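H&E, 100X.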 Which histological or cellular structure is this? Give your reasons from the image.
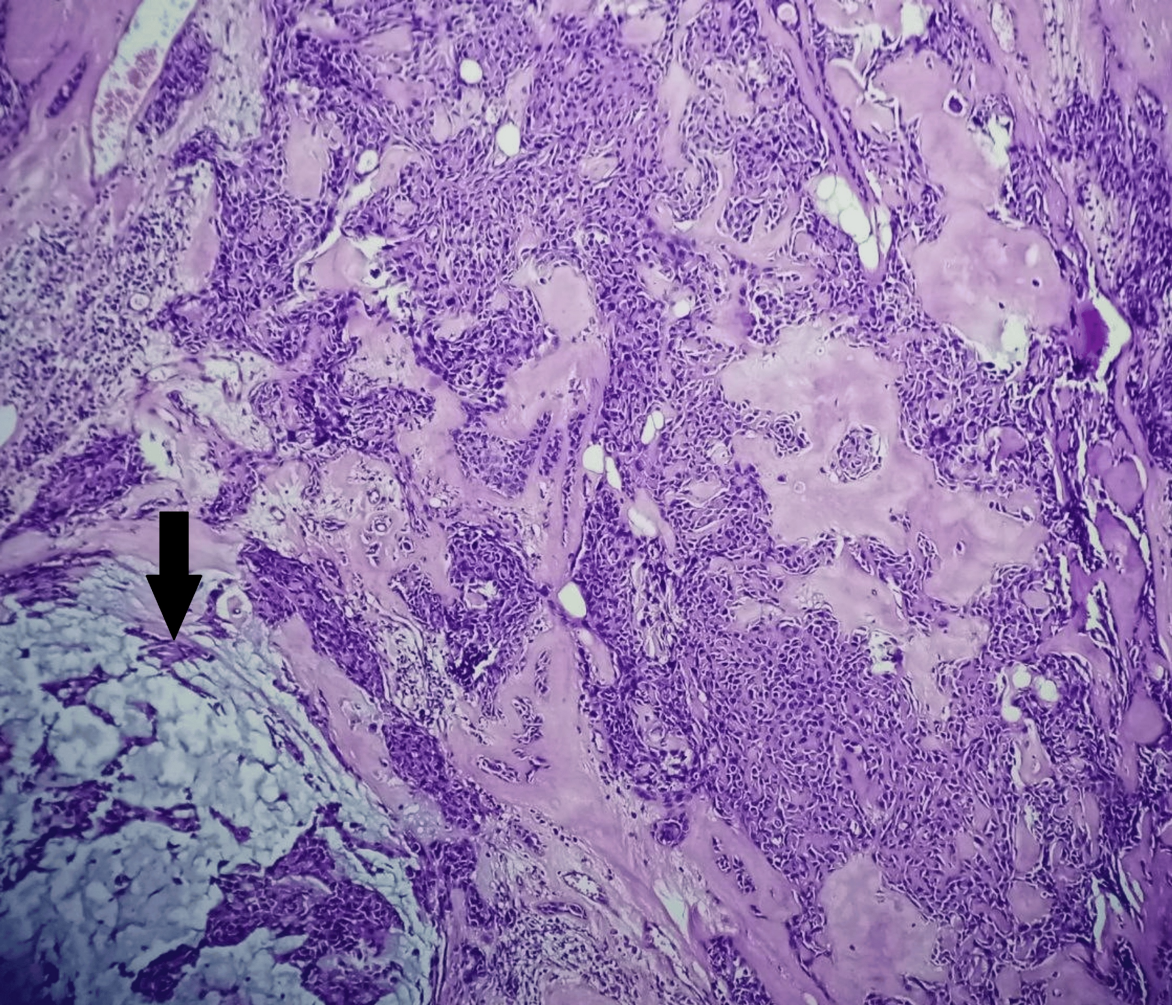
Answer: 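Nests, cords, tubules, and sheets. Densely packed, dark purple cells form clusters, strands and solid sheets. Small empty spaces with clear lumina lie among the cell groups.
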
